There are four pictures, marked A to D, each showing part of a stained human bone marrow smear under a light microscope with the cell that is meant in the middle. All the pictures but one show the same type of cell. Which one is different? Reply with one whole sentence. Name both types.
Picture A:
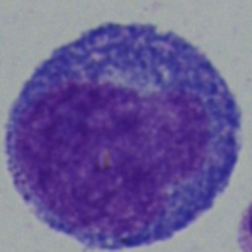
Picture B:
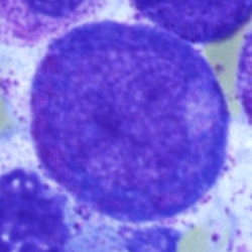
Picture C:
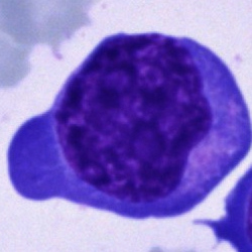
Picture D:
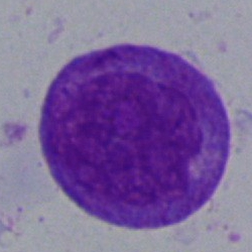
Picture C is the odd one out: it shows a blast, while the others show promyelocytes.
